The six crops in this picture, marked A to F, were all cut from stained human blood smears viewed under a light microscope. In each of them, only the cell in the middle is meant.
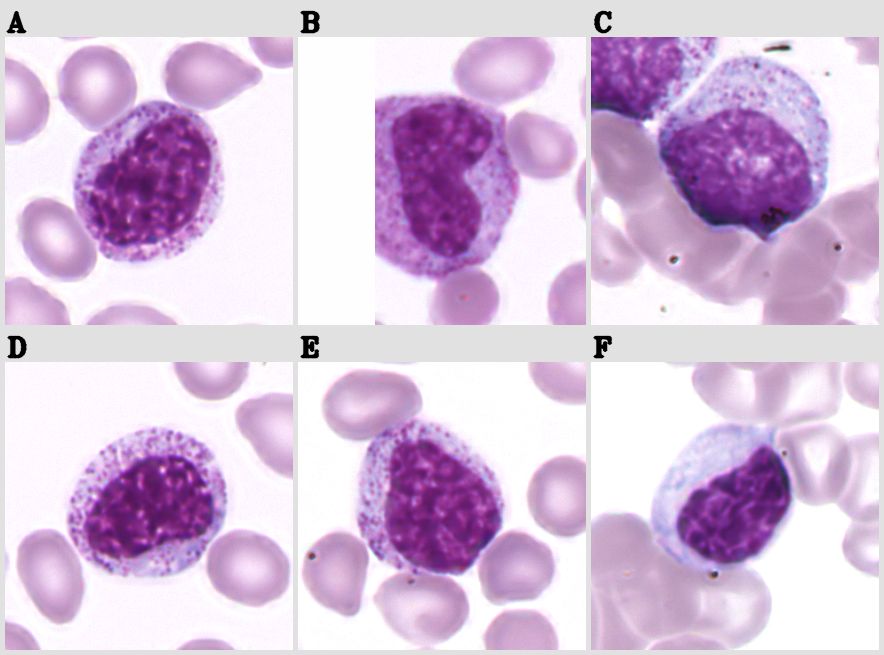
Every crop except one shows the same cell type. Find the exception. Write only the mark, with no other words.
C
